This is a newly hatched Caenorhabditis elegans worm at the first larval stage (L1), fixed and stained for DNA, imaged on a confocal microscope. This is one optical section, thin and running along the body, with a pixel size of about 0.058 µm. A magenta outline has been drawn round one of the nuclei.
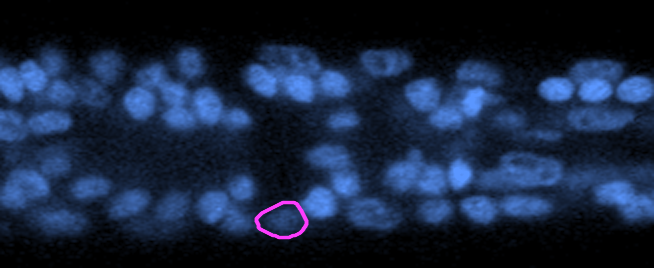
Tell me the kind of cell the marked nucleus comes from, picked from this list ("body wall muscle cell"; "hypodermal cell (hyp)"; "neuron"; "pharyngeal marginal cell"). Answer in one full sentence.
The cell with the marked nucleus is a neuron.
